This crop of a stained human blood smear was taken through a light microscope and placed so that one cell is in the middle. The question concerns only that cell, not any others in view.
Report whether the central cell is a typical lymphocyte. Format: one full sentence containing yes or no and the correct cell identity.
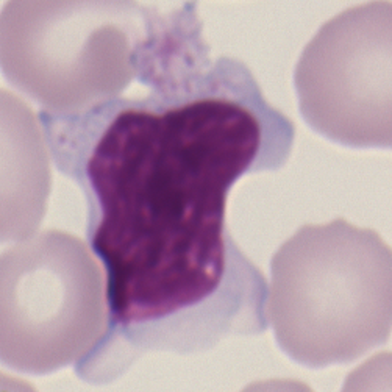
No, the cell at the centre of the crop is a large granular lymphocyte and not a typical lymphocyte.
